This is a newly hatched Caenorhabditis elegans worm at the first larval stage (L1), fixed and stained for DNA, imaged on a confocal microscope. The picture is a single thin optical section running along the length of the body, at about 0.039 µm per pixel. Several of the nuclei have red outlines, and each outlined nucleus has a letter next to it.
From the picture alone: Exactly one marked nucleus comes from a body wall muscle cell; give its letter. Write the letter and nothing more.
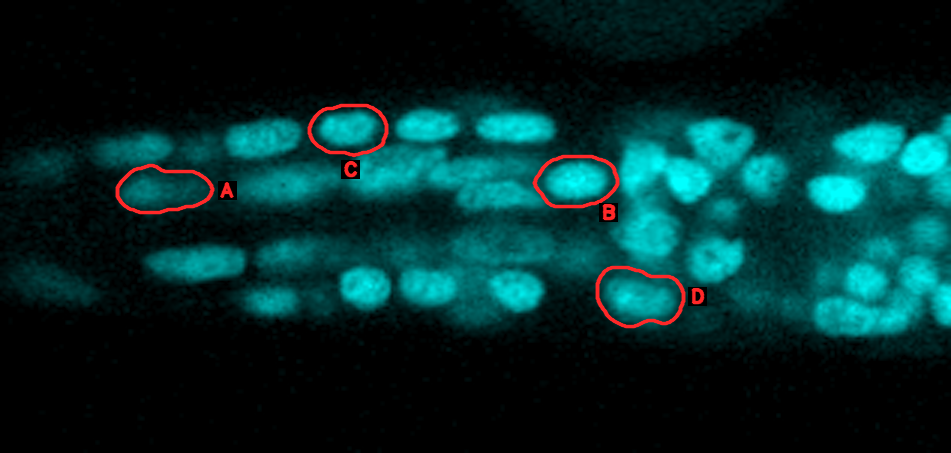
D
